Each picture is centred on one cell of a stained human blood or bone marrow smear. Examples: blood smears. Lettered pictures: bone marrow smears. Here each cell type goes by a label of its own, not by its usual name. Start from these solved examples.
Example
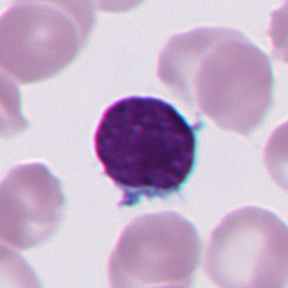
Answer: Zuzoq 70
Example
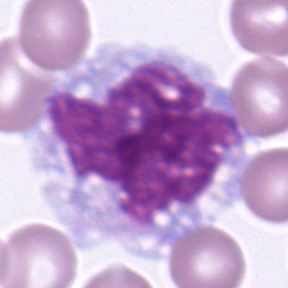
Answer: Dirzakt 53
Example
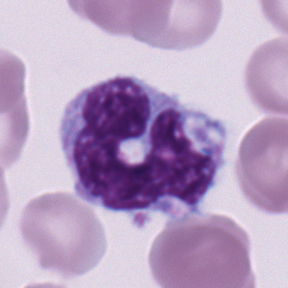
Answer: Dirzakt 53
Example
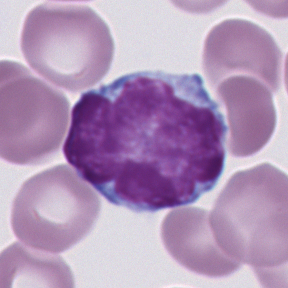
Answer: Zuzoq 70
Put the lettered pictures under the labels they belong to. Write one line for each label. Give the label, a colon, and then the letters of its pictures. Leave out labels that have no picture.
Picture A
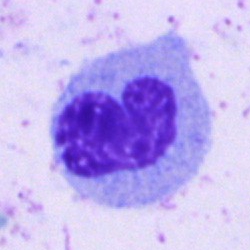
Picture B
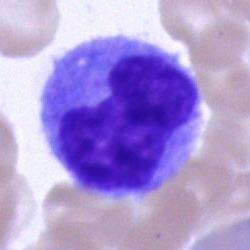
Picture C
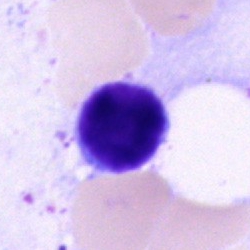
Zuzoq 70: C
Dirzakt 53: A, B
